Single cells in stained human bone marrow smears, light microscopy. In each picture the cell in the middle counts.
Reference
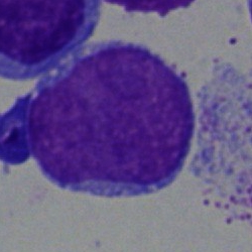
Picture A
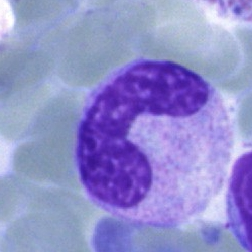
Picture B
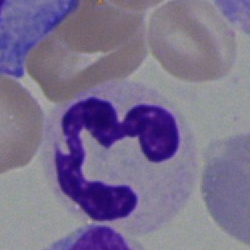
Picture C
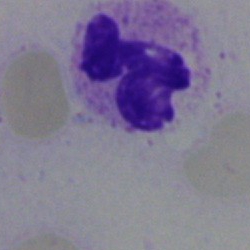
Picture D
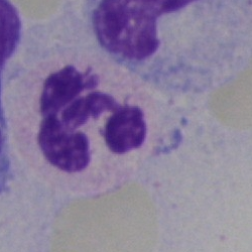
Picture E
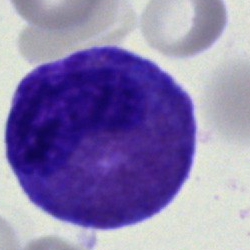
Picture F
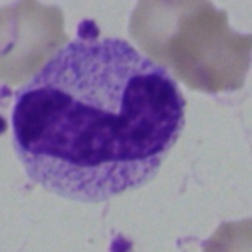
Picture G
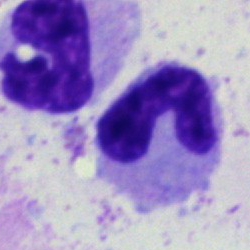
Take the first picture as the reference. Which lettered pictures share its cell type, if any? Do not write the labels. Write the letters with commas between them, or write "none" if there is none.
none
